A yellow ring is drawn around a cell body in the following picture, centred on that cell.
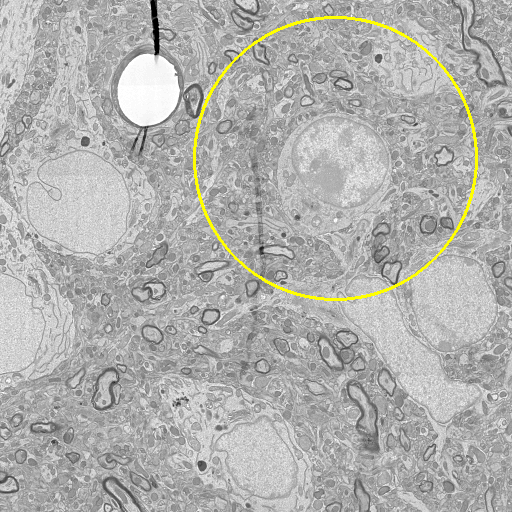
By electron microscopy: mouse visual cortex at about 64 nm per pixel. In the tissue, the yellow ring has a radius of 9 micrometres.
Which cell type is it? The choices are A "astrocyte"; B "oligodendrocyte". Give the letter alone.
B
